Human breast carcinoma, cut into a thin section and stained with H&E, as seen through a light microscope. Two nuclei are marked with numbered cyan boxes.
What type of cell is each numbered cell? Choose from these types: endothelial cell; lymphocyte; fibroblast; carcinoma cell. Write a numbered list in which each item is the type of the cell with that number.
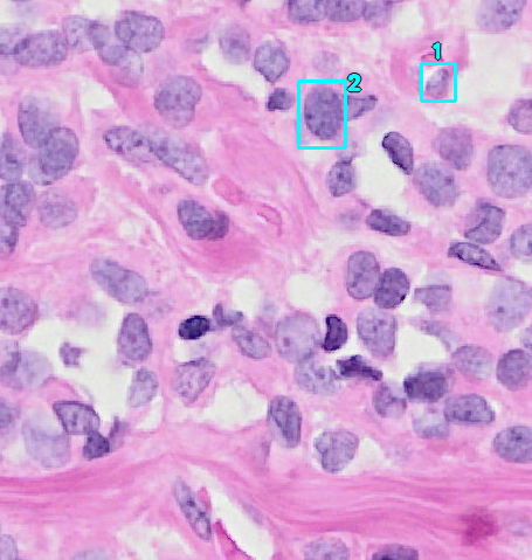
1. endothelial cell
2. carcinoma cell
